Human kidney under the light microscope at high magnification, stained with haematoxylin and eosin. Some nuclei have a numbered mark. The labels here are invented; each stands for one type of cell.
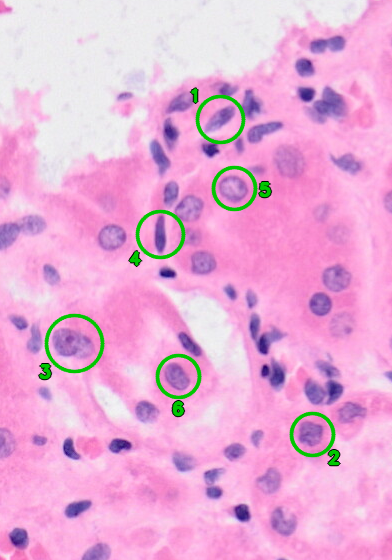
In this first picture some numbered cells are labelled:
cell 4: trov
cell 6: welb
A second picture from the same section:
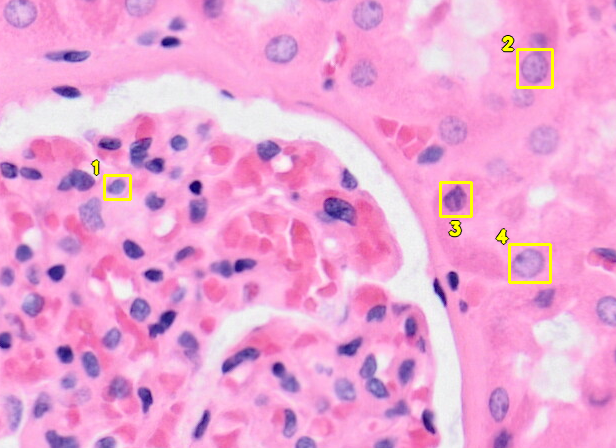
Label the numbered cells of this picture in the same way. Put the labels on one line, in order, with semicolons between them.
trov; welb; welb; welb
